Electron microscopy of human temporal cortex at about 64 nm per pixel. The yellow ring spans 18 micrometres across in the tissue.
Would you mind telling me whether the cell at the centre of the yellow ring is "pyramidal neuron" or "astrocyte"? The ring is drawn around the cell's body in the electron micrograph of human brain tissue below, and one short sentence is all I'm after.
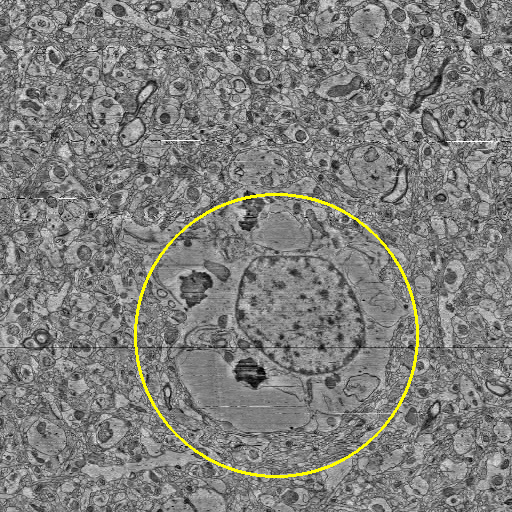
In the centre of the ring lies an astrocyte.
